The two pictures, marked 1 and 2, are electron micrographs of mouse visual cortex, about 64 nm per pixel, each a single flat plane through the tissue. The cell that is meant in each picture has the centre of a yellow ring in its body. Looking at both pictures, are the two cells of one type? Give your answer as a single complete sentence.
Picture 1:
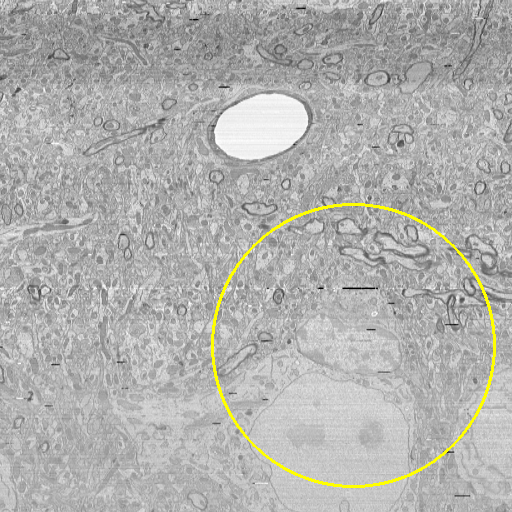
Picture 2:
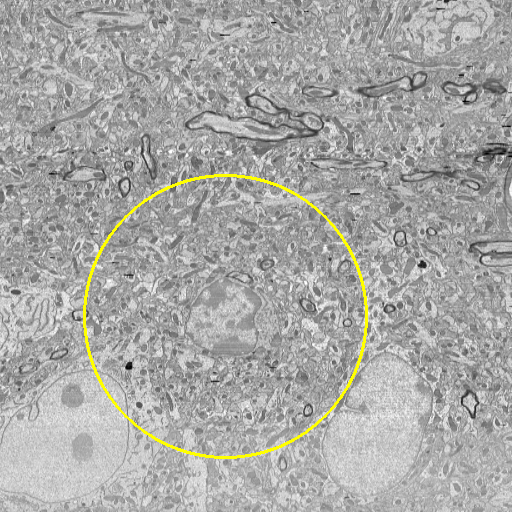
Yes, both cells are oligodendrocytes.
